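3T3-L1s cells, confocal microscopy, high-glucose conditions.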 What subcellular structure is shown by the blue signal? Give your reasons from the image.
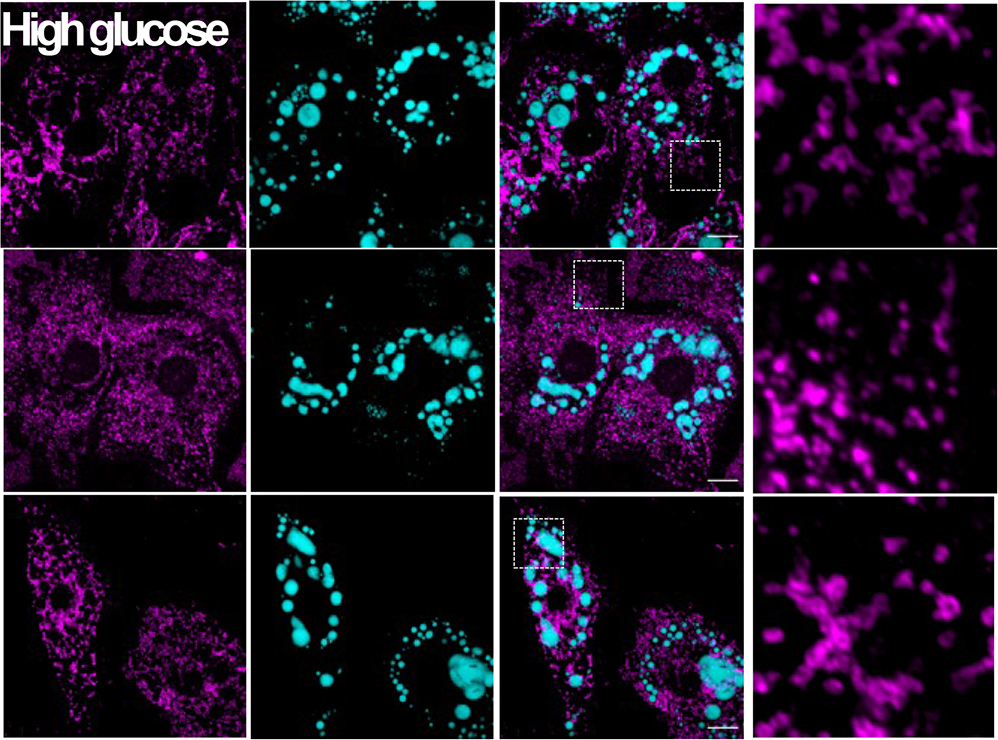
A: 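Neutral lipids. Blue signal forms round droplets of varying size. The droplets cluster in rings around the cell centre. Purple threads lie between and around the droplets.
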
